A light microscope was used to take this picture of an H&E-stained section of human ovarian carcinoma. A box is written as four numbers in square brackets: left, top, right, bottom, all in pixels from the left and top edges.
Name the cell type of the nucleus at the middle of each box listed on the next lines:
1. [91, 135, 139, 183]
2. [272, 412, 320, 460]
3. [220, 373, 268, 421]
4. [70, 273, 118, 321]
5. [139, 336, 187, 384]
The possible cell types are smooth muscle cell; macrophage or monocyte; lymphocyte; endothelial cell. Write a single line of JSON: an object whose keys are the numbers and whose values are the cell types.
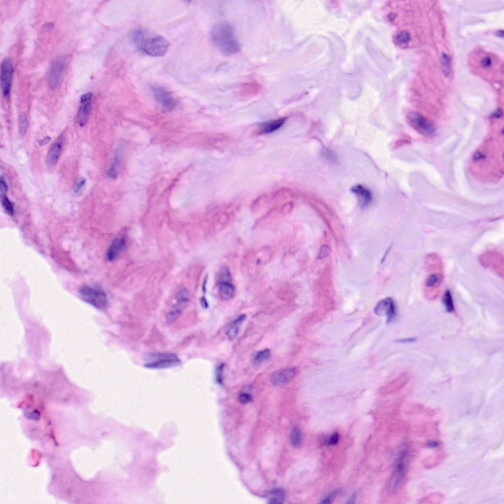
{"1": "smooth muscle cell", "2": "smooth muscle cell", "3": "smooth muscle cell", "4": "endothelial cell", "5": "endothelial cell"}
